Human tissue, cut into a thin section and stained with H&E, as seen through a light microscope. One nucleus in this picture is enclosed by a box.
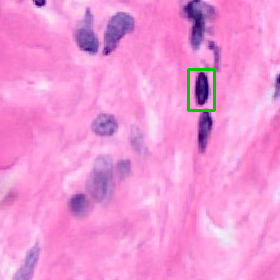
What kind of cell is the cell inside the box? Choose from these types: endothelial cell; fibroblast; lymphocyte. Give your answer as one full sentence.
The cell type of the cell inside the box is that of a lymphocyte.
